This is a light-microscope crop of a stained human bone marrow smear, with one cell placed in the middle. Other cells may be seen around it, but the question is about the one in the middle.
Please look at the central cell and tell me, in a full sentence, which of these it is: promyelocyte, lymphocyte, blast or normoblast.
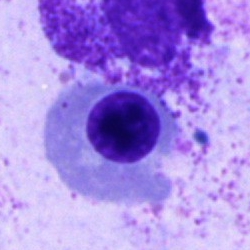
The cell in the middle of the field of view is a normoblast.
